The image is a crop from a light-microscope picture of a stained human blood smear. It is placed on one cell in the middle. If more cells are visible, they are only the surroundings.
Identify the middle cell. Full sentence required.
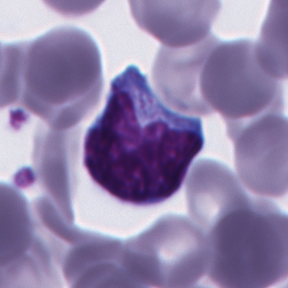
The cell the crop is centered on is a typical lymphocyte.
